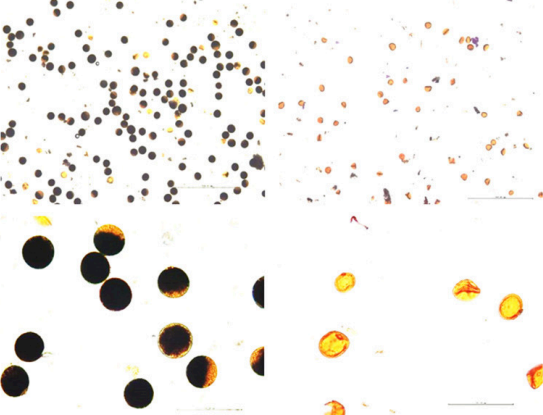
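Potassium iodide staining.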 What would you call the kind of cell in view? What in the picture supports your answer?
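Pollen grains. Many small, separate, round grains are scattered singly on a pale background. On the left, most grains are evenly filled with dark black stain. On the right, the grains are smaller, yellow-orange and irregular in outline.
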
